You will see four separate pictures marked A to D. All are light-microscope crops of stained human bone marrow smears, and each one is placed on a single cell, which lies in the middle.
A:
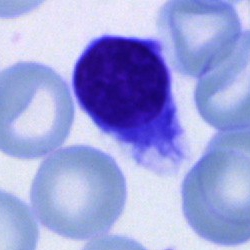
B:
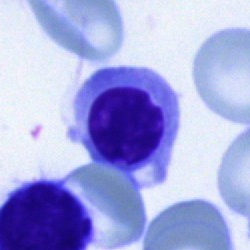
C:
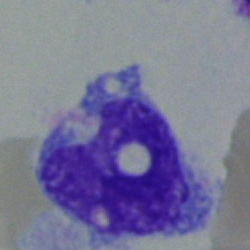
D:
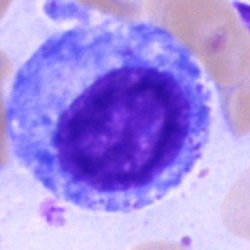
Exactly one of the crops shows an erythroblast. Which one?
B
